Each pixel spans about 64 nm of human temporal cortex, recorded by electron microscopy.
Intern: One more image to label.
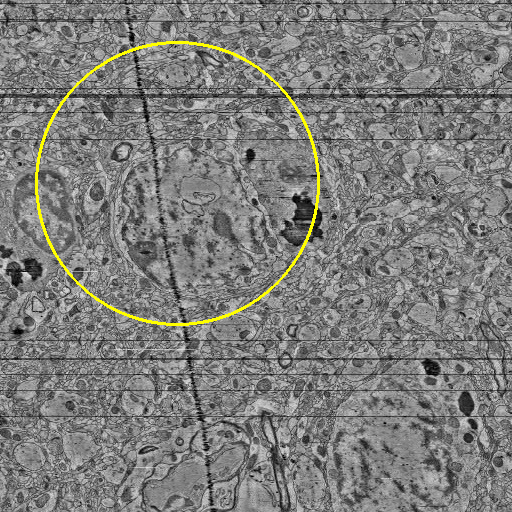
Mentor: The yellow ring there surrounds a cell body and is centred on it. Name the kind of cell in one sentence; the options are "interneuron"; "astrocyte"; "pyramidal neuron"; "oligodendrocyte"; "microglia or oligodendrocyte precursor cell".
The ring marks the cell body of an interneuron.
